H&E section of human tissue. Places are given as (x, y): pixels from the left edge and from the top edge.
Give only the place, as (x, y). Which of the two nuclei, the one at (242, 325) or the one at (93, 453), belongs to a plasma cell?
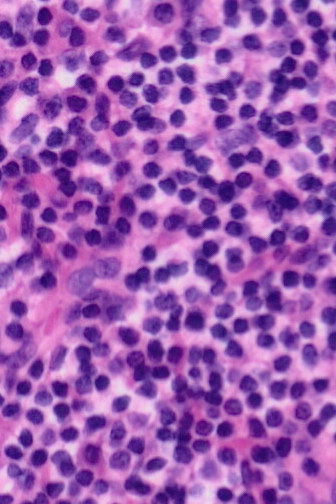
(93, 453)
